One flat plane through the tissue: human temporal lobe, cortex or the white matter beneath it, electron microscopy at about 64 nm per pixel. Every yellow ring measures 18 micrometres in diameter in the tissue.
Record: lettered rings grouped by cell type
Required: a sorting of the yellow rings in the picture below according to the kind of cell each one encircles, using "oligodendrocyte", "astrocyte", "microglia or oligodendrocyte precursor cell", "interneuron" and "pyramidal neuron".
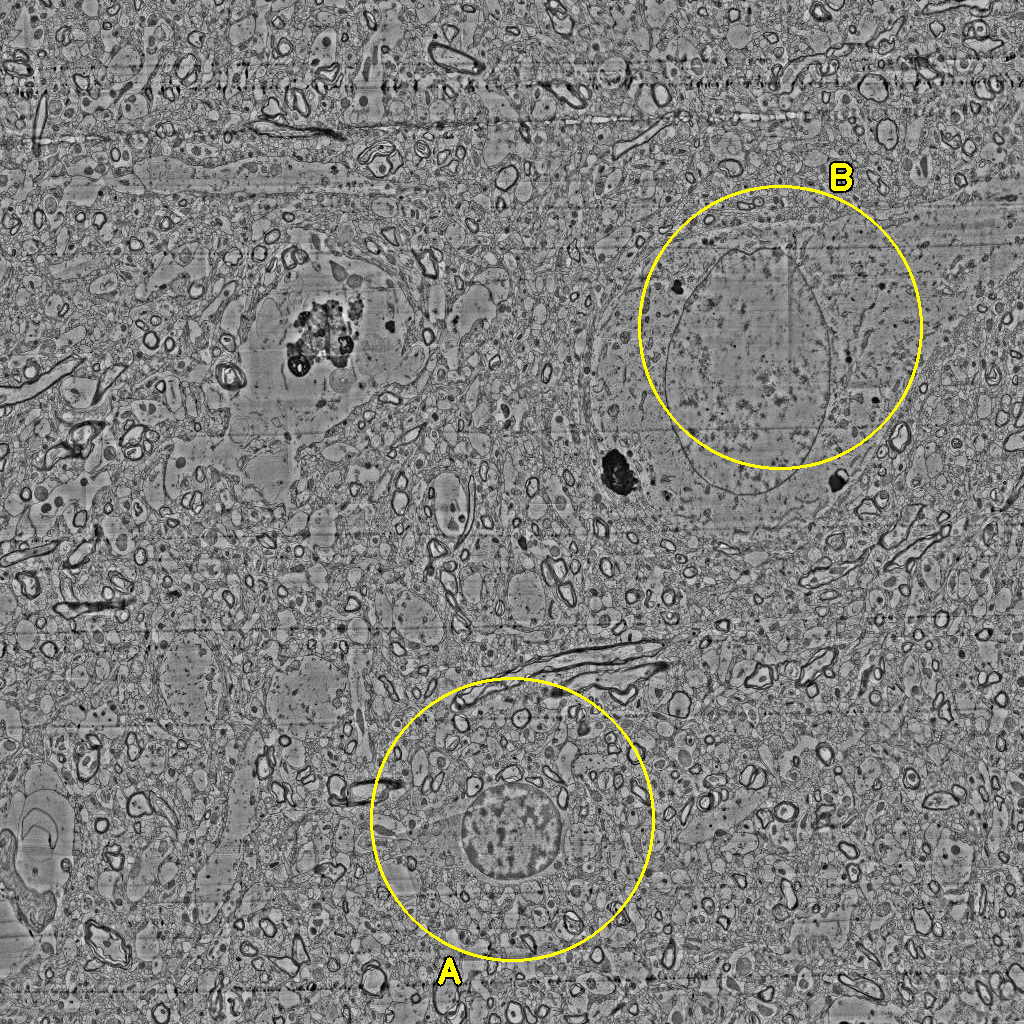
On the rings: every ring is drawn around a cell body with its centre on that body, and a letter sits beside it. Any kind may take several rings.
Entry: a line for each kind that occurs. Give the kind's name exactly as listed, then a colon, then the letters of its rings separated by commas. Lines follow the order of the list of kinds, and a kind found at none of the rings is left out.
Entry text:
oligodendrocyte: A
pyramidal neuron: B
